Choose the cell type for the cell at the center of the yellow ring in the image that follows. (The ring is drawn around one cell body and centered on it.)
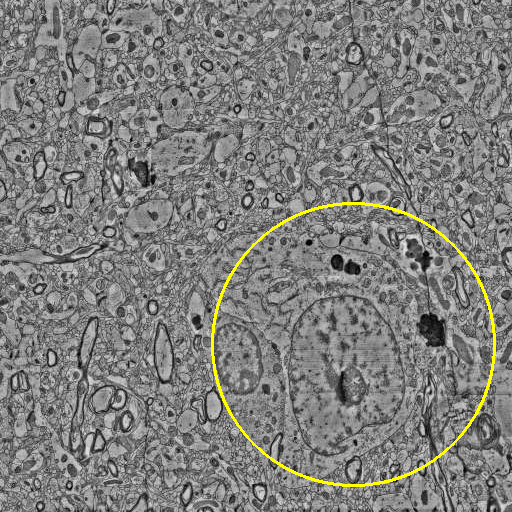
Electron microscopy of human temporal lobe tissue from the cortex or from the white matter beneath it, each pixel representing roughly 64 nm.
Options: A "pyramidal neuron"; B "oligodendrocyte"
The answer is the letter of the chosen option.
A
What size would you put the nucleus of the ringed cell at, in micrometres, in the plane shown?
In this plane, the nucleus of the cell at the centre of the ring measures about 10 by 8 micrometres.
